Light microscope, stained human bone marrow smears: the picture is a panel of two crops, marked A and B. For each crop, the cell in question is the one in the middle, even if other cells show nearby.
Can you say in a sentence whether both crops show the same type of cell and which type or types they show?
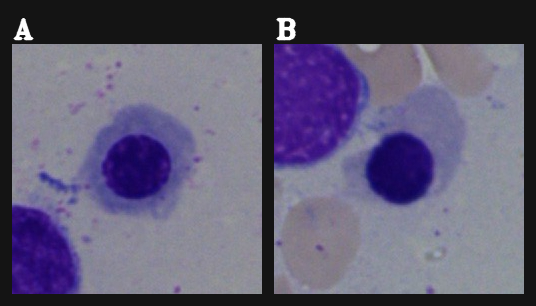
Yes, as shown in both crops, the central cells are erythroblasts.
